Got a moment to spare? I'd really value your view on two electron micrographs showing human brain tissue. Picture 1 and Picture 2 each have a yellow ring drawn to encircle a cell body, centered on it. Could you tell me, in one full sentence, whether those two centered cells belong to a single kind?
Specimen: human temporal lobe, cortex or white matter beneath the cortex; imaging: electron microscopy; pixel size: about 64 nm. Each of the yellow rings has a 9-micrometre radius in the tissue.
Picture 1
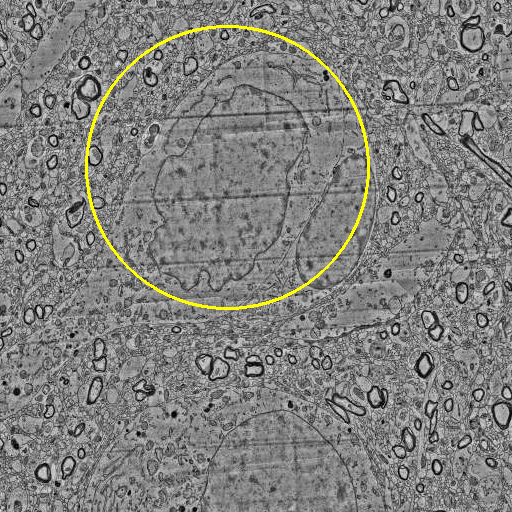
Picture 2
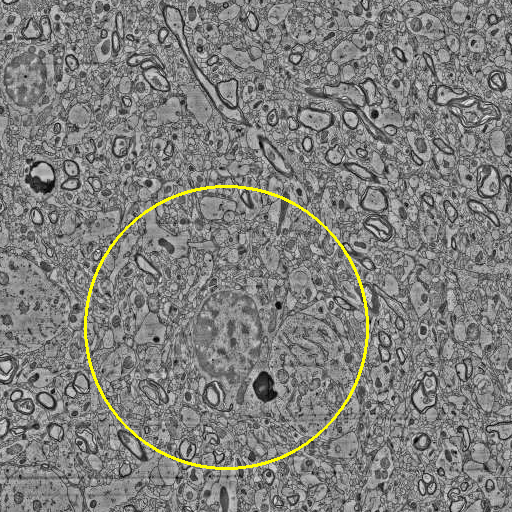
No, the two centered cells in Picture 1 and Picture 2 are of two kinds.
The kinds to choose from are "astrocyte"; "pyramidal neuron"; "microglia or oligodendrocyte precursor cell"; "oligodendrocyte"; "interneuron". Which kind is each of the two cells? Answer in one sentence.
Of the two, the first cell is an interneuron and the second cell is an oligodendrocyte.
